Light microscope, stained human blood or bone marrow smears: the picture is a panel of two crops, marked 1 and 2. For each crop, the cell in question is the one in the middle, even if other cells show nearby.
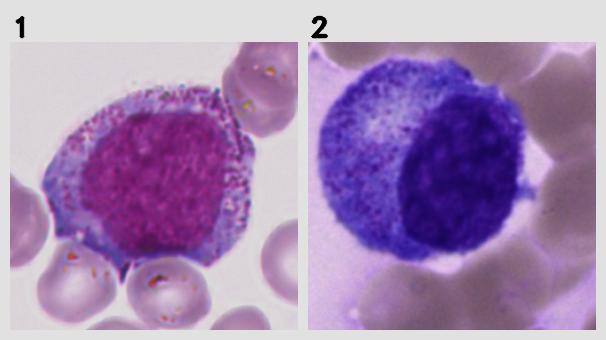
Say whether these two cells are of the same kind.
yes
